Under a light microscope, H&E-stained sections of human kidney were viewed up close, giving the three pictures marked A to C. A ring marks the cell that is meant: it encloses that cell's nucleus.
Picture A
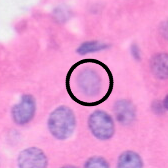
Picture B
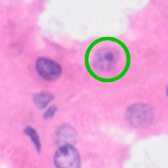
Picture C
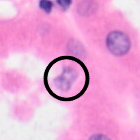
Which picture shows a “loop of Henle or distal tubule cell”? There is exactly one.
A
